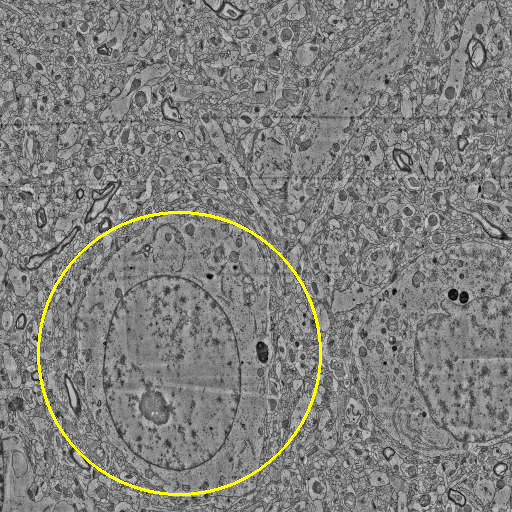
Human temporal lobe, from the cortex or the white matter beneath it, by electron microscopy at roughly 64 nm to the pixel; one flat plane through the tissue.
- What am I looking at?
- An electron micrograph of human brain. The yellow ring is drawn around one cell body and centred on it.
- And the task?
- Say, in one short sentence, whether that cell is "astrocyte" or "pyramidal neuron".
The cell in the middle of the ring is a pyramidal neuron.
